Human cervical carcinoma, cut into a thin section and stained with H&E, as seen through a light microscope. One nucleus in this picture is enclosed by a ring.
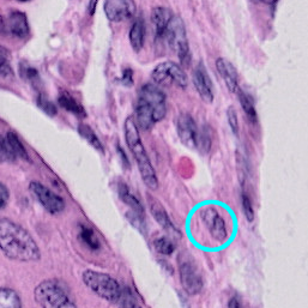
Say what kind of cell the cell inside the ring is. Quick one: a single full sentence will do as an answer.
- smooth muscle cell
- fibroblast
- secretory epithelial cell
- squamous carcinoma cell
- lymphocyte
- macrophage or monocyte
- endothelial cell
In this section, the cell inside the ring is an endothelial cell.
